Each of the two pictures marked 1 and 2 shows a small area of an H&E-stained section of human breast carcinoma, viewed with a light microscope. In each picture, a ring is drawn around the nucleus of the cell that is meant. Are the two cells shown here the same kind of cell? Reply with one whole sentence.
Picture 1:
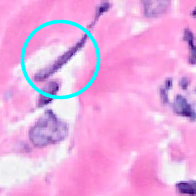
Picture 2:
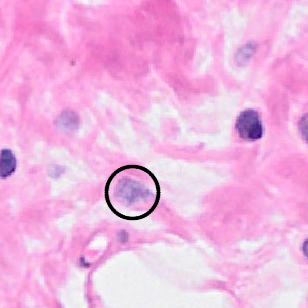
Yes, they are the same type: both are fibroblasts.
